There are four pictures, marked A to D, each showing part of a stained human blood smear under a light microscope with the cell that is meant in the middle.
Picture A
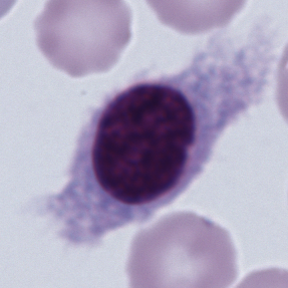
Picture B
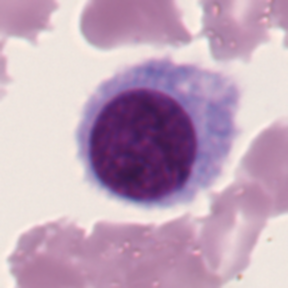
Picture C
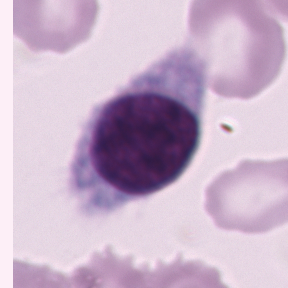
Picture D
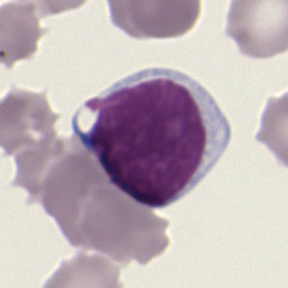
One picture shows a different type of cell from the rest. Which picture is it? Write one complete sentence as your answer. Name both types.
Picture D differs, because its cell is a typical lymphocyte and the rest are hairy cells.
